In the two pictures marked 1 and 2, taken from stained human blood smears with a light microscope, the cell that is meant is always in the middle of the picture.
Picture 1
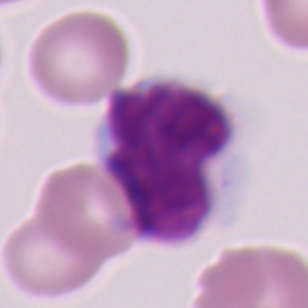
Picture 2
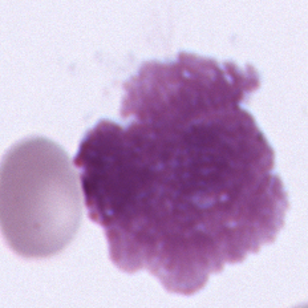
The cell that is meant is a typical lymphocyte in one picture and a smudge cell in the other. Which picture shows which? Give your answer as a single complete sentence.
Picture 1 is of a typical lymphocyte, and picture 2 is of a smudge cell.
